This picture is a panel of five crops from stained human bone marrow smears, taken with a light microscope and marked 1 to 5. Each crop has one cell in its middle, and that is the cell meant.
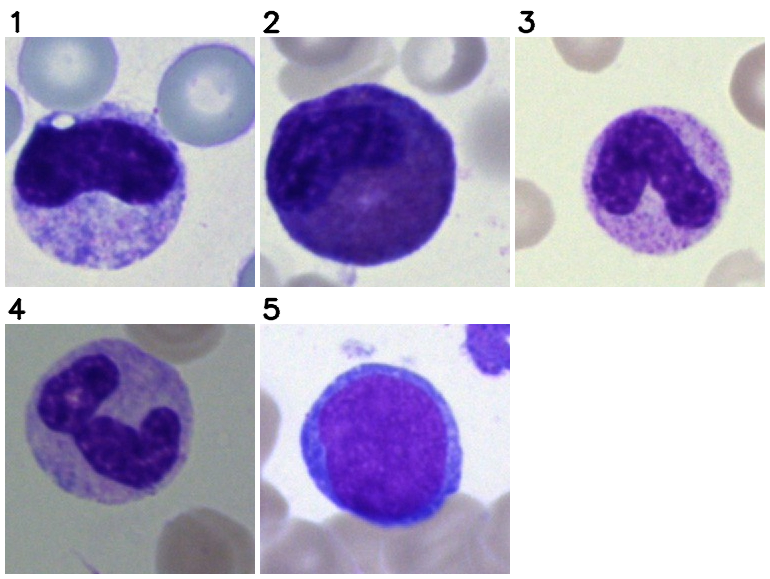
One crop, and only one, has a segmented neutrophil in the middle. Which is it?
4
